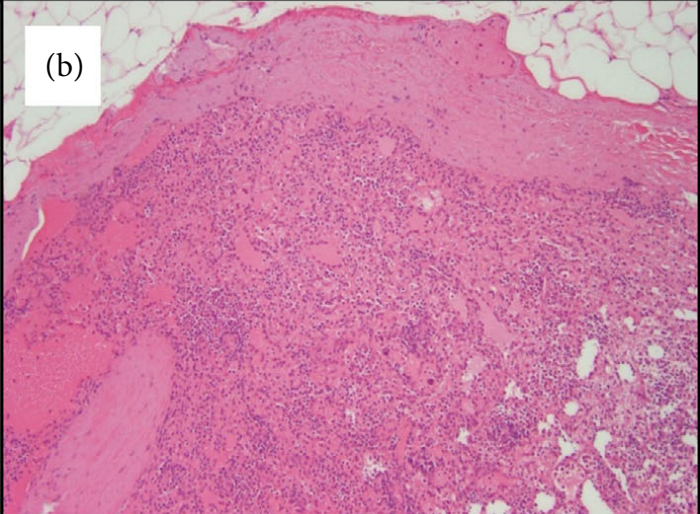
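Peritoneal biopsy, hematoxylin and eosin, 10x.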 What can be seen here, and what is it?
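This field shows the edge of an encapsulated nodule set in fibroadipose tissue. Large clear fat cells lie along the top border. A smooth band of pink fibrous tissue forms the capsule beneath them. Under the capsule the nodule is densely cellular, crowded with small dark nuclei. Scattered pink, blood-filled spaces and small clear spaces lie among the cells.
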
